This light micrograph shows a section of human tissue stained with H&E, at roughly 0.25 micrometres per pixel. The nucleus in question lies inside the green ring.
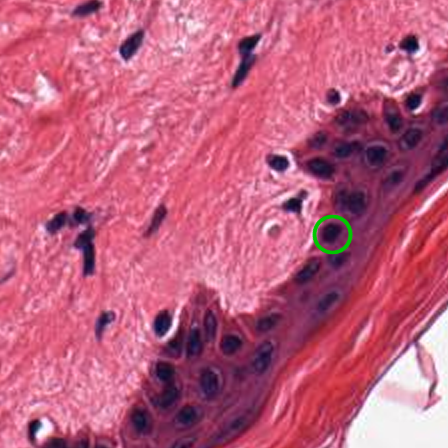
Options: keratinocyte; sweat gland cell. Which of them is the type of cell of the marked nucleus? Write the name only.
keratinocyte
